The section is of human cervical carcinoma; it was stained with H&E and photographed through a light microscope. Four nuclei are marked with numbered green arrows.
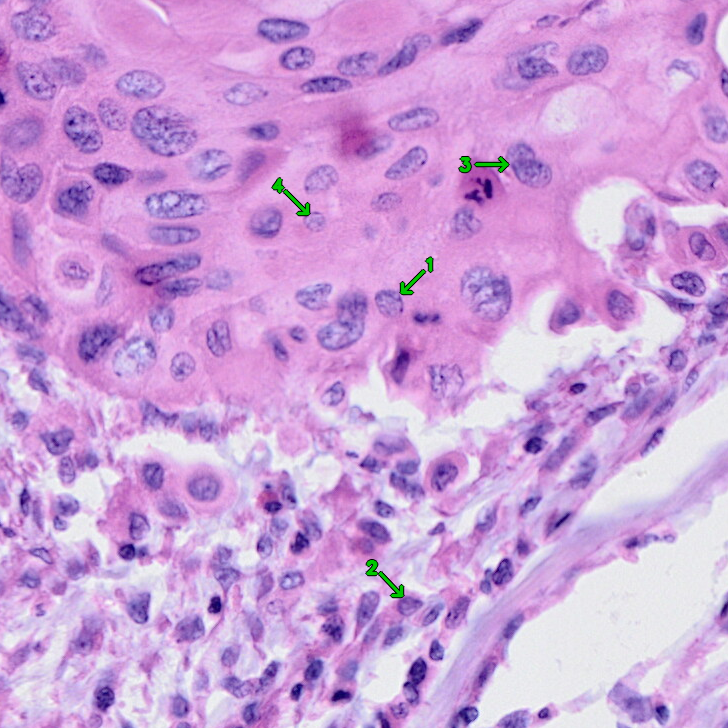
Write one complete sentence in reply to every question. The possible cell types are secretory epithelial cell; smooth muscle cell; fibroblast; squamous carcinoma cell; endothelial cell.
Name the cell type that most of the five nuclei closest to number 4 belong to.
Most of the five nuclei nearest to number 4 are those of squamous carcinoma cells.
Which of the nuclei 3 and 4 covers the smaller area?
The smaller nucleus is 4, and 3 covers roughly 4 times its area.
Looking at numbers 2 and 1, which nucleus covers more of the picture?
Number 1 is larger; its area is about 1.5 times that of number 2.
